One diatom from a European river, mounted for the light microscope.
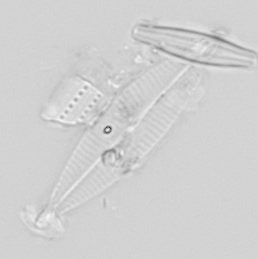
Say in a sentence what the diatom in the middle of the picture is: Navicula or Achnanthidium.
This is Navicula.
